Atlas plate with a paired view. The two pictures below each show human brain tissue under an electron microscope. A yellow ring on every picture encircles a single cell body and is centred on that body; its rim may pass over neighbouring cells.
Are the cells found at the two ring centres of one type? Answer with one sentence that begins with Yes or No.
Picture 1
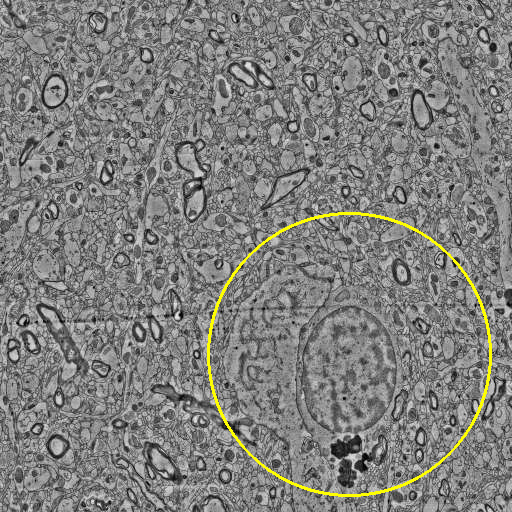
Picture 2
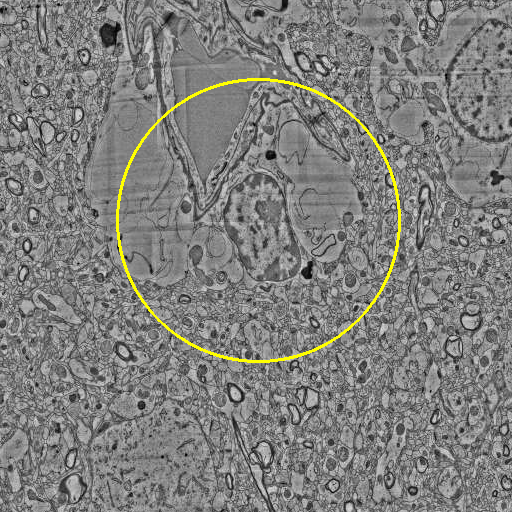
No, the two cells lying at the centres of the rings are of two types.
